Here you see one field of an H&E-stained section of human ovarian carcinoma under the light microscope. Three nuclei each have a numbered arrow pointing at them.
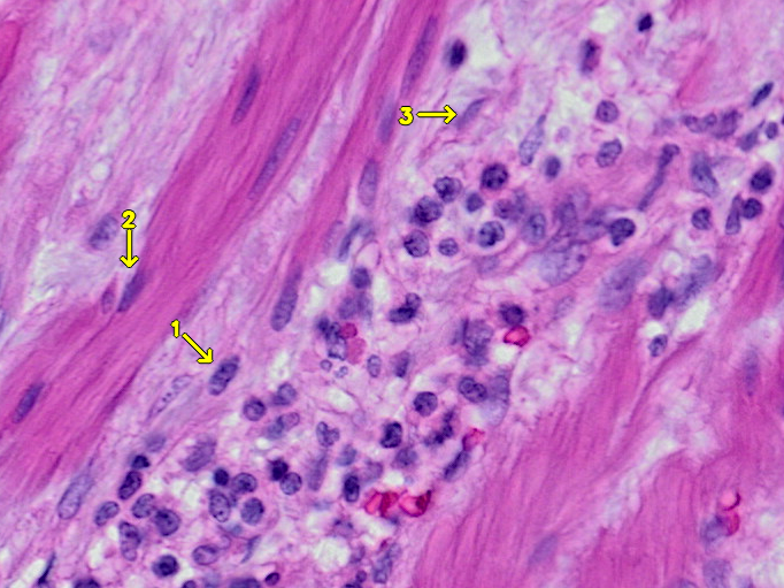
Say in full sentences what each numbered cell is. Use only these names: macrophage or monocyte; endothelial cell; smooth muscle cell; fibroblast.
Cell 1 is a macrophage or monocyte, cell 2 is a smooth muscle cell and cell 3 is a fibroblast.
